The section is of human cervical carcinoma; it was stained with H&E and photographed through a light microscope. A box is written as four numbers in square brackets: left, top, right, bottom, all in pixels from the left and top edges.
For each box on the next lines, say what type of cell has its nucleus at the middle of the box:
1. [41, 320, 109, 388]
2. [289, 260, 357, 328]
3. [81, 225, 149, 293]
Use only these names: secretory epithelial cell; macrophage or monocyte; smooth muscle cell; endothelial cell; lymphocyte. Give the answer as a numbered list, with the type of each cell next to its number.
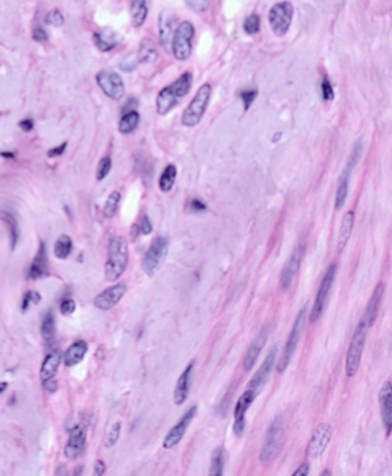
1. endothelial cell
2. smooth muscle cell
3. endothelial cell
